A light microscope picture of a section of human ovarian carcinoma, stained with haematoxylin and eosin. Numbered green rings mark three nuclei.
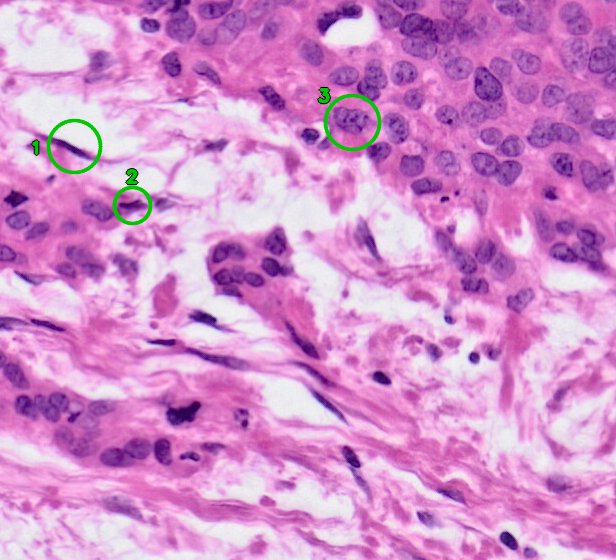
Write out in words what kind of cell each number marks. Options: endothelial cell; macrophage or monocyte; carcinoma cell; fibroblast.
Cell 1 is a fibroblast, cell 2 is a fibroblast and cell 3 is a carcinoma cell.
